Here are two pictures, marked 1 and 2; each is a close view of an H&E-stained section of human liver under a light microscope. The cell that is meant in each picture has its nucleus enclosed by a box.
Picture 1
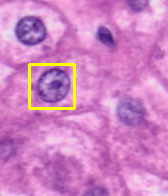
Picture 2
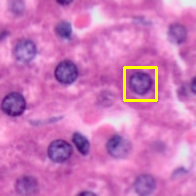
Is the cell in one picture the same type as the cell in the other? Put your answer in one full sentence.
Yes, both are hepatocytes.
